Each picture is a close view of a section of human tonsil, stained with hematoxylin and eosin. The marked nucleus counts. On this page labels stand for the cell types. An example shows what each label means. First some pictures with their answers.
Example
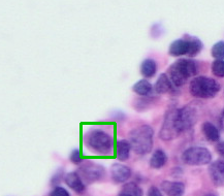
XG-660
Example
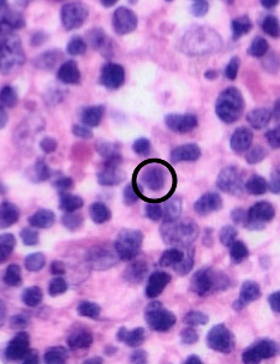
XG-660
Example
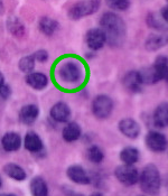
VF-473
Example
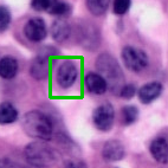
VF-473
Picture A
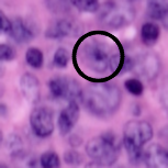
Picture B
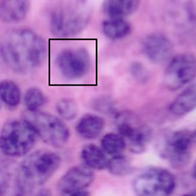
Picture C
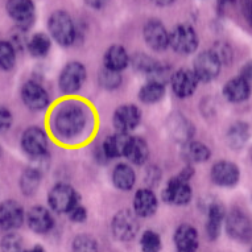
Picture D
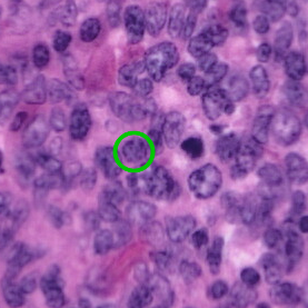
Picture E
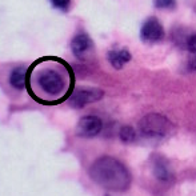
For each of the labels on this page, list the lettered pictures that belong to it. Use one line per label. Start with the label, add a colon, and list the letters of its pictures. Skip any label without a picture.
XG-660: A, B, D
VF-473: C, E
